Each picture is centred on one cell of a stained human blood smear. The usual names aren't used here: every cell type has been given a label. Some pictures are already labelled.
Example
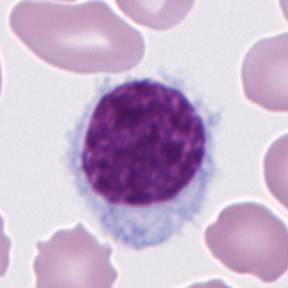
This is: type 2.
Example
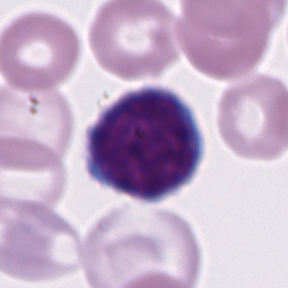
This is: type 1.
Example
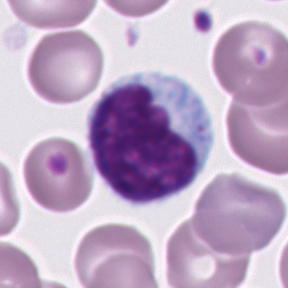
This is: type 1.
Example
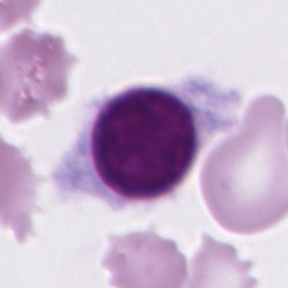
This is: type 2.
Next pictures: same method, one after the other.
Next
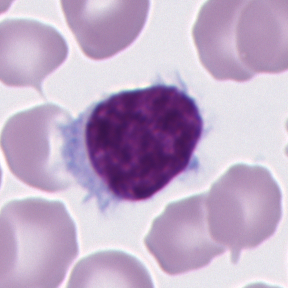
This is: type 2.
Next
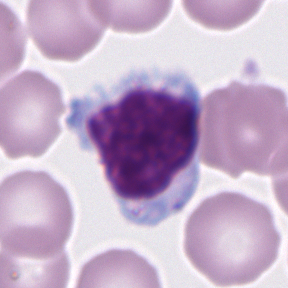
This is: type 1.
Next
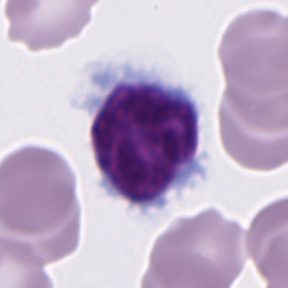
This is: type 2.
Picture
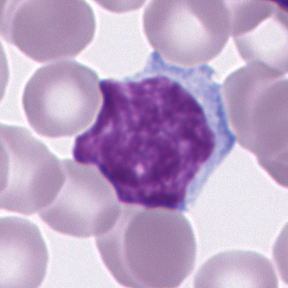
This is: type 1.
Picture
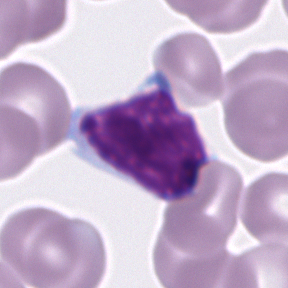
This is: type 1.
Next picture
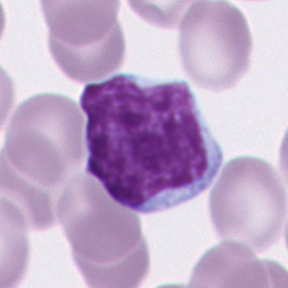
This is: type 1.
